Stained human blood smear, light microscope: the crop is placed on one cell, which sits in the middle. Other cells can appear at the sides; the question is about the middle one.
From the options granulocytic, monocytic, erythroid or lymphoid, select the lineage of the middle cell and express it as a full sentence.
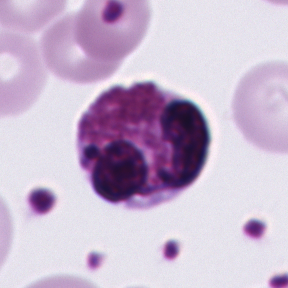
The cell in the crop's center is a cell of the granulocytic lineage.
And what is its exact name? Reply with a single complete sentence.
The cell positioned in the middle of the field is an eosinophil.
